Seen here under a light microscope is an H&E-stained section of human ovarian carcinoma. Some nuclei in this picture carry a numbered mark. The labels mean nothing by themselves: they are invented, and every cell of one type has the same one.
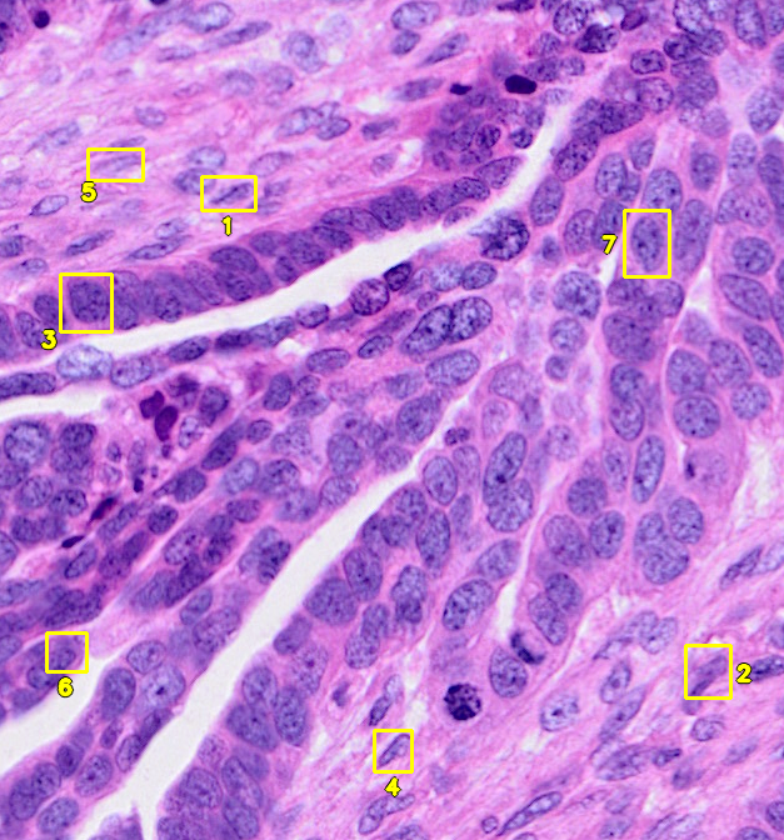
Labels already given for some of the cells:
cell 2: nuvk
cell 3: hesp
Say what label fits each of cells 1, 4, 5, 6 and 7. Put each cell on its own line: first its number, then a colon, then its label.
1: nuvk
4: nuvk
5: nuvk
6: hesp
7: hesp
